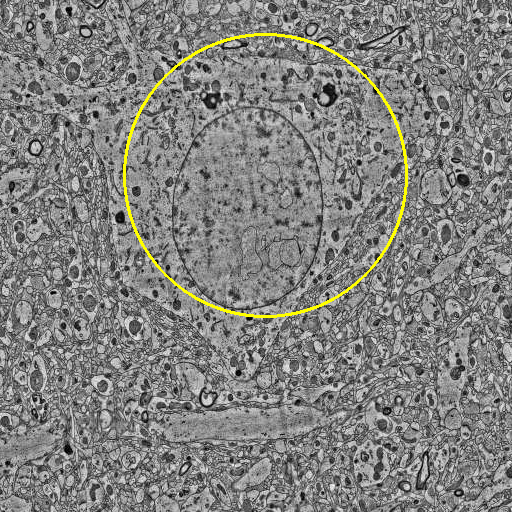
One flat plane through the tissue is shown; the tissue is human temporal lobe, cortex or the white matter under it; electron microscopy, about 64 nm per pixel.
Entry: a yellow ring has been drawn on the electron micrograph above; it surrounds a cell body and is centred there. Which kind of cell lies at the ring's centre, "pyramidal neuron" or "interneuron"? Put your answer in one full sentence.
The cell sitting at the ring's centre is a pyramidal neuron in the micrograph above.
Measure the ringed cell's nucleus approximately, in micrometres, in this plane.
Approximately 13 x 10 micrometres in this plane.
